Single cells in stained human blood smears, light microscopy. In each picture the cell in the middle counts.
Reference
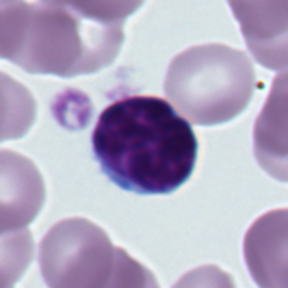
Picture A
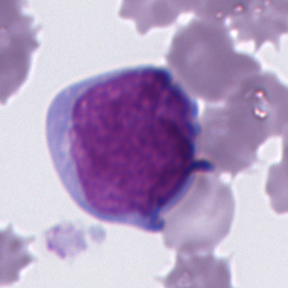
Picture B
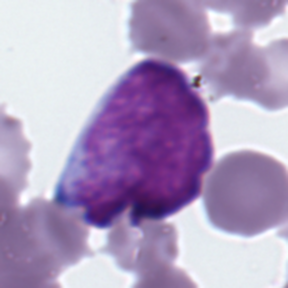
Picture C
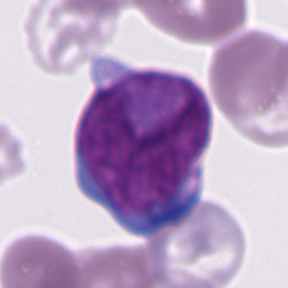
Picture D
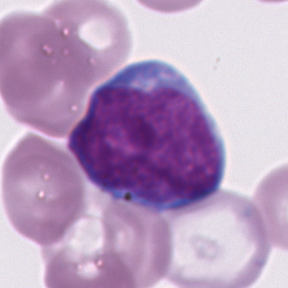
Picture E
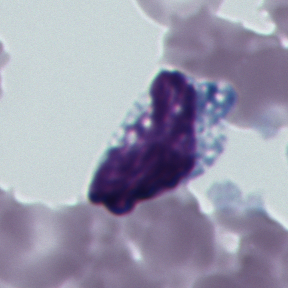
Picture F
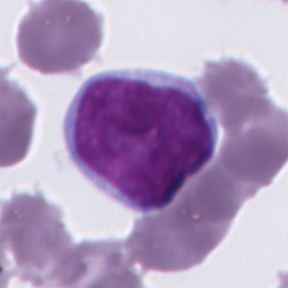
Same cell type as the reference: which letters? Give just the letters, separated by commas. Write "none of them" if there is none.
E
